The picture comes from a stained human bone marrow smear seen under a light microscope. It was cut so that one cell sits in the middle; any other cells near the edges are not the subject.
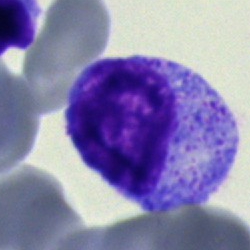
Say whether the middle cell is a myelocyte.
no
